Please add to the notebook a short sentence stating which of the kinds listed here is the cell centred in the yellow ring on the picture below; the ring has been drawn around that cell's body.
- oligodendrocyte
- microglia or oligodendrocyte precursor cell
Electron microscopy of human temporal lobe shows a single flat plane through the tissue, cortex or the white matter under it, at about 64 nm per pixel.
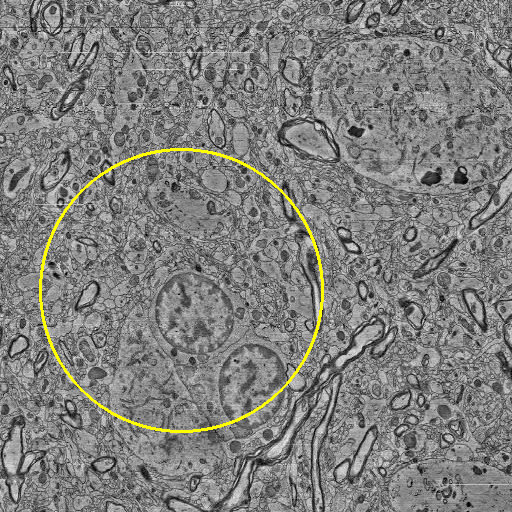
The cell centred in the yellow ring is an oligodendrocyte.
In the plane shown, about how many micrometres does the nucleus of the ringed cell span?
Roughly 6 micrometres by 5 micrometres, in this plane.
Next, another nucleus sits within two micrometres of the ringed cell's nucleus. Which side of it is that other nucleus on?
The other nucleus lies to the lower right of it in the picture.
